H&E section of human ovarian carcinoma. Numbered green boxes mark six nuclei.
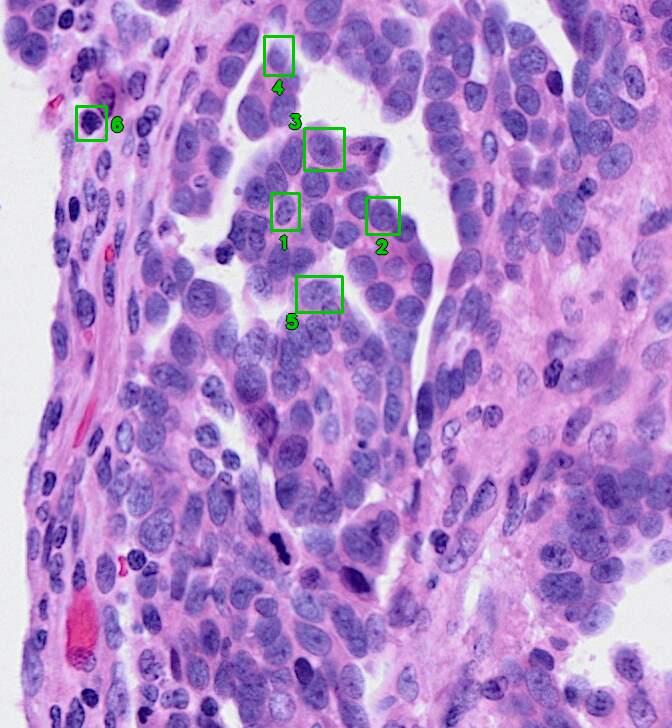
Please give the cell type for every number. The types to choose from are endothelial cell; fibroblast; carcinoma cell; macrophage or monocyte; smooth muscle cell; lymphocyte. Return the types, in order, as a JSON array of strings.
["macrophage or monocyte", "carcinoma cell", "carcinoma cell", "carcinoma cell", "carcinoma cell", "lymphocyte"]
